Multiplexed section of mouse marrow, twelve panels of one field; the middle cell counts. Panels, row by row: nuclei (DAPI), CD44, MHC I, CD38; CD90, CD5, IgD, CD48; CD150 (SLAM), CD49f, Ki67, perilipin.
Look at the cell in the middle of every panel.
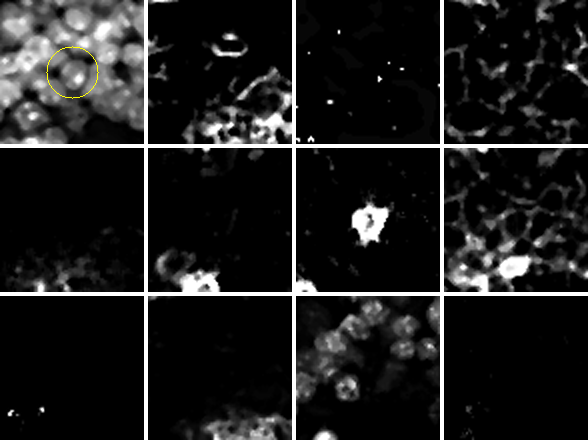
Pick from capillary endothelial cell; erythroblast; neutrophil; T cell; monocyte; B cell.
B cell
